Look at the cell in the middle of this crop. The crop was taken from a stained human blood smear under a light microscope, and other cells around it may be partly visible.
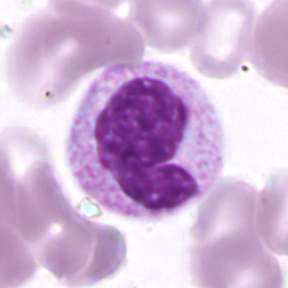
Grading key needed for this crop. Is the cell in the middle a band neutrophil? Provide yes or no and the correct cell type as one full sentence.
Yes, the middle cell of the field is a band neutrophil.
